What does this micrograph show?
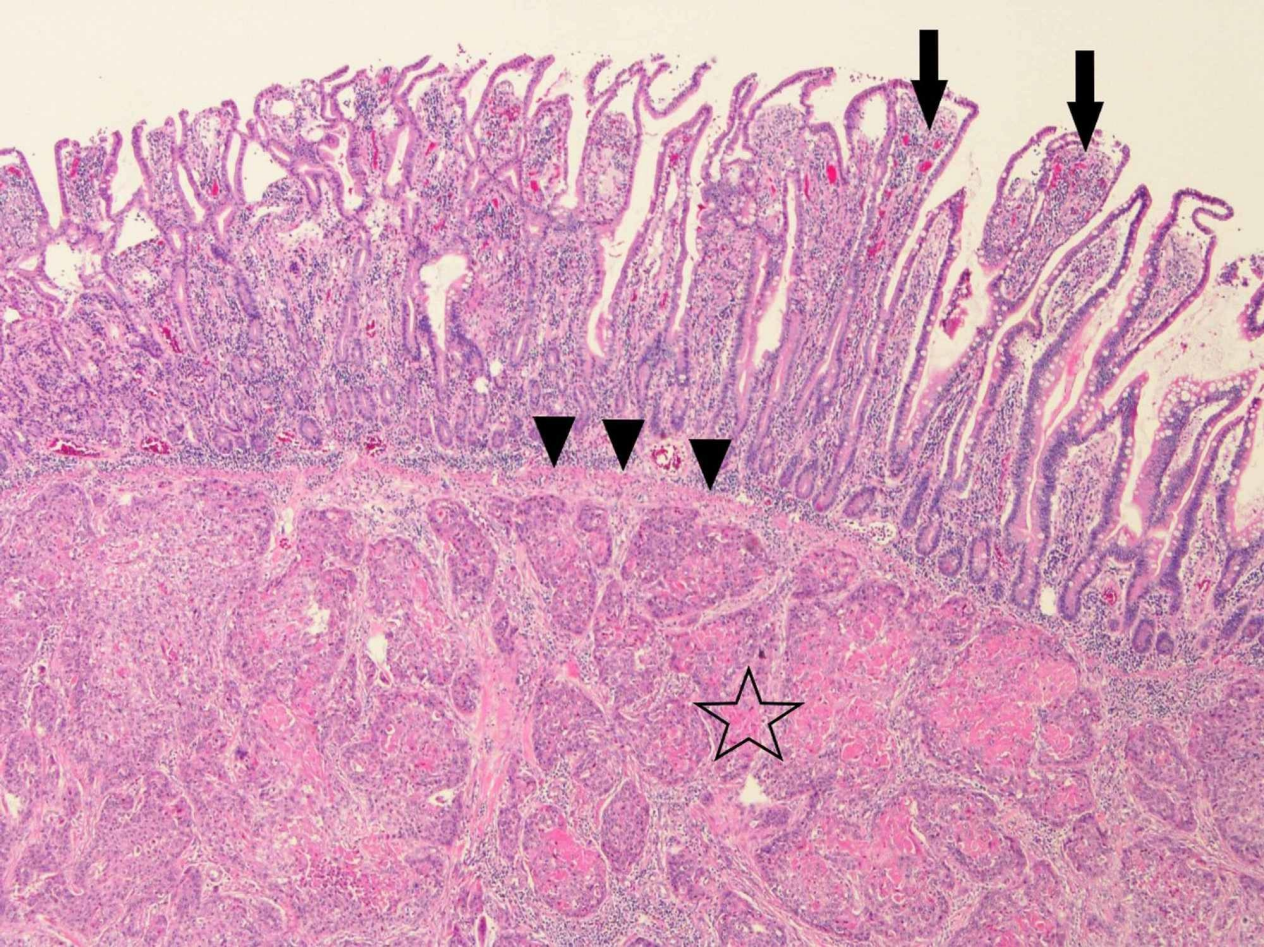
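Small bowel wall at low power, with mucosa in the upper part of the picture. The mucosa has tall villi lined by columnar epithelium with goblet cells, and crypts sit at the base of the villi. Beneath the mucosa lies a nodule of squamous cell carcinoma with inflammatory infiltrate, made of many irregular nests of tumor cells separated by fibrous stroma, and many nests have bright pink, keratin-like centres.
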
